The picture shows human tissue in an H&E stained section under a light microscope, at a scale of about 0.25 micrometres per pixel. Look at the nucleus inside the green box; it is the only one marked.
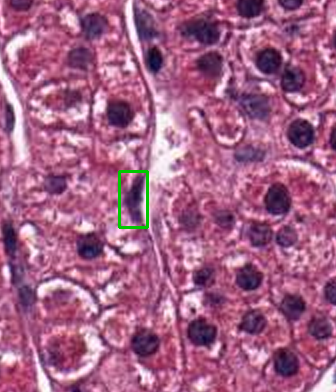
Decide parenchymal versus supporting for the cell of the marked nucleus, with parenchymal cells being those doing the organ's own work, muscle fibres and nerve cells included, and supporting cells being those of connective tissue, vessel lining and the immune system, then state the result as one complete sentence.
The cell holding the marked nucleus is identified as a supporting cell.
